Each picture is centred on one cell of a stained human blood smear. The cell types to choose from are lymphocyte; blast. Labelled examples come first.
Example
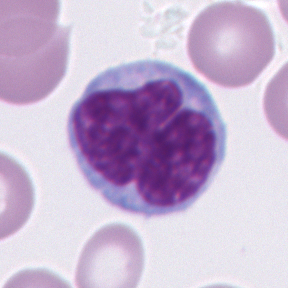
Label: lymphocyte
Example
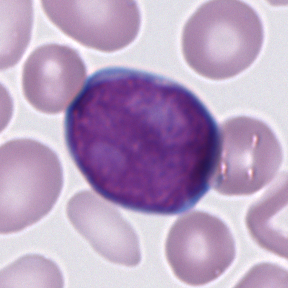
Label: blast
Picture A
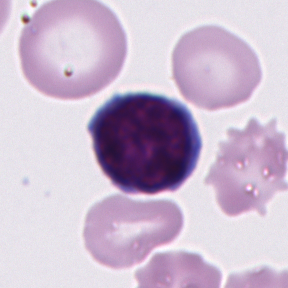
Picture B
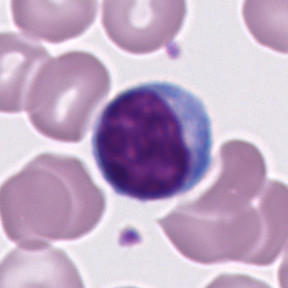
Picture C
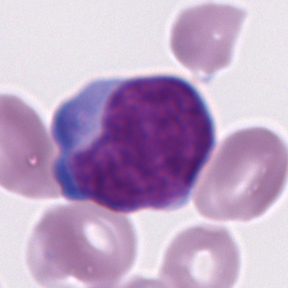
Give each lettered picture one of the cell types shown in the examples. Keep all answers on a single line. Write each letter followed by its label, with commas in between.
A lymphocyte, B lymphocyte, C blast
